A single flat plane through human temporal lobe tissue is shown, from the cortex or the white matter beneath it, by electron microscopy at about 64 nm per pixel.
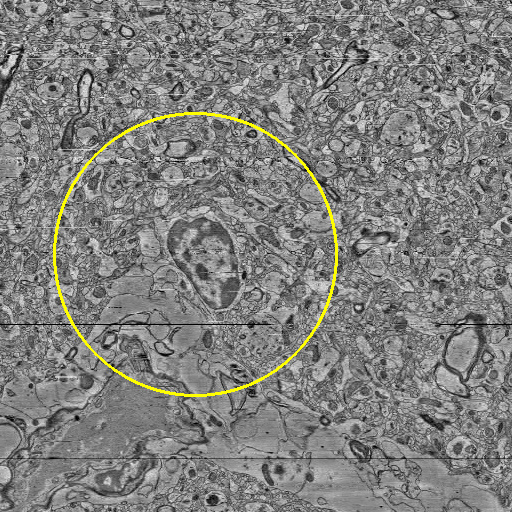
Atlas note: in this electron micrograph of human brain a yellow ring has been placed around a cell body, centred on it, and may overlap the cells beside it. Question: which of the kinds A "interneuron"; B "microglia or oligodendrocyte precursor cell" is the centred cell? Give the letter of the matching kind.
B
